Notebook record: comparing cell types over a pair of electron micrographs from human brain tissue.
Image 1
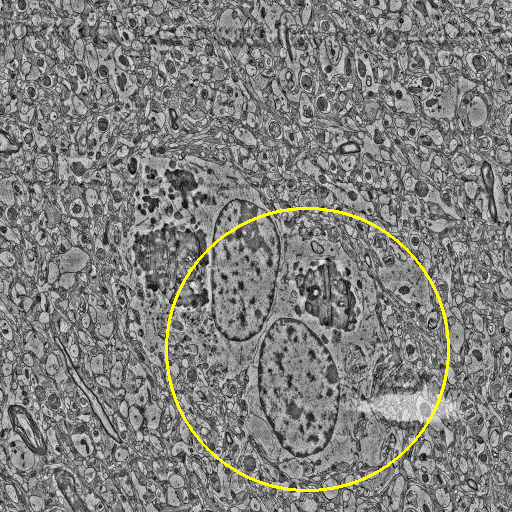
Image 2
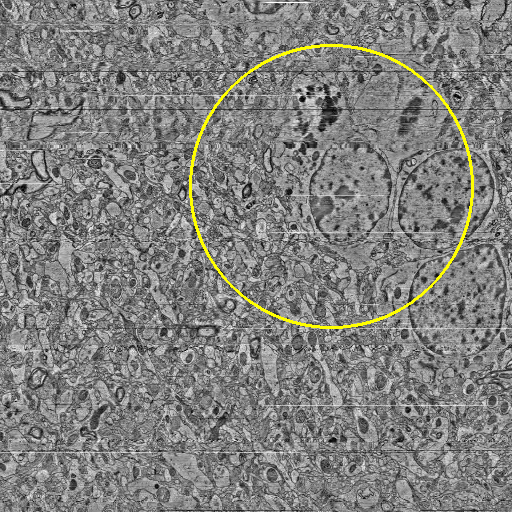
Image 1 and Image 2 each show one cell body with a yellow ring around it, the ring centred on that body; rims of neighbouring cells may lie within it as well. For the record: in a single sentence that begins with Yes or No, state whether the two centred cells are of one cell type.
Yes, one cell type is shared by the centred cells of Image 1 and Image 2.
